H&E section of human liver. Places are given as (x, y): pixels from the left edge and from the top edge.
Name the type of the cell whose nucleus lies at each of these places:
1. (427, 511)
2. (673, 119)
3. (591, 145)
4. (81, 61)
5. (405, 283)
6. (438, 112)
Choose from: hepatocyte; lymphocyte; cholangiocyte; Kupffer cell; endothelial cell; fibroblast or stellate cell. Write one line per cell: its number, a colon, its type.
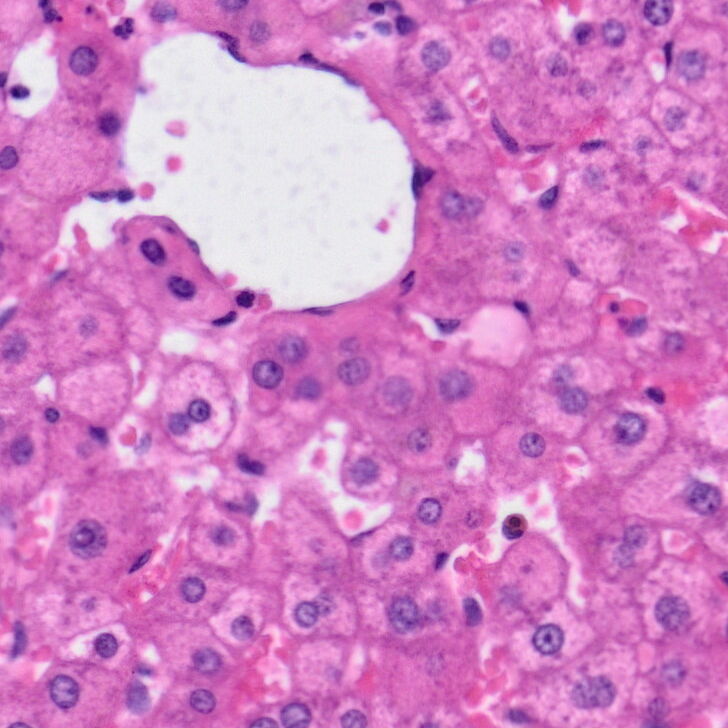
1: hepatocyte
2: hepatocyte
3: endothelial cell
4: hepatocyte
5: fibroblast or stellate cell
6: hepatocyte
